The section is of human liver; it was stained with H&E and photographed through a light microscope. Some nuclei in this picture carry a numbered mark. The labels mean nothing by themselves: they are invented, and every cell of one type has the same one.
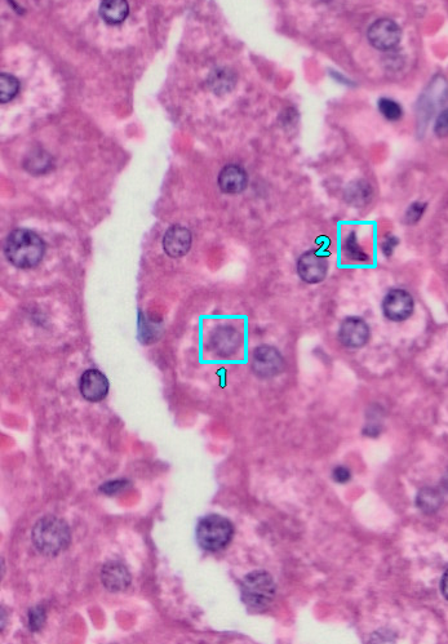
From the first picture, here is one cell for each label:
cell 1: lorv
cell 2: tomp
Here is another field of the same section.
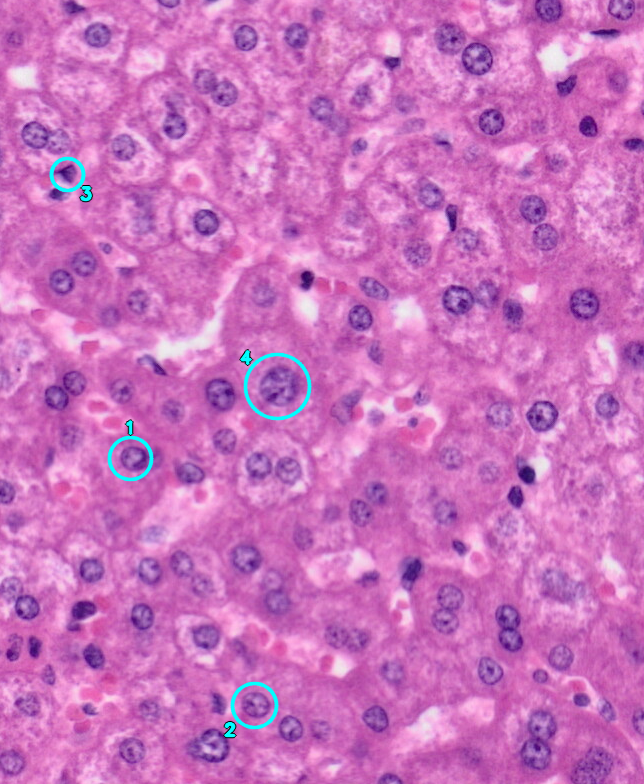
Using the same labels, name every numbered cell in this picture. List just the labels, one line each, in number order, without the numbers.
lorv
lorv
tomp
lorv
